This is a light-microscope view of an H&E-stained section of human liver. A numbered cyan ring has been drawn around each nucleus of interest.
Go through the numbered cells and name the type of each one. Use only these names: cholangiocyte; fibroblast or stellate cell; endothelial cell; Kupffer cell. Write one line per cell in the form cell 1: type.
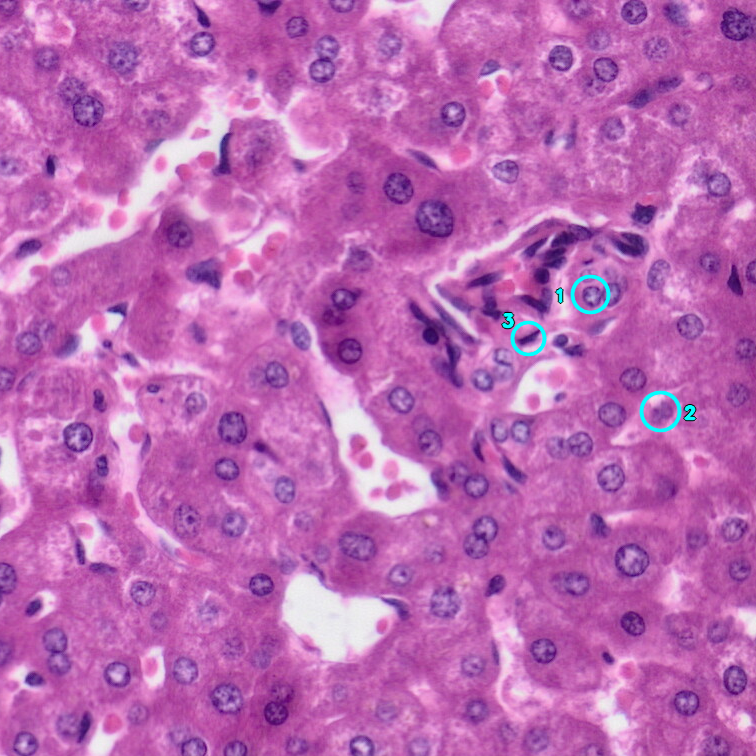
cell 1: cholangiocyte
cell 2: Kupffer cell
cell 3: fibroblast or stellate cell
